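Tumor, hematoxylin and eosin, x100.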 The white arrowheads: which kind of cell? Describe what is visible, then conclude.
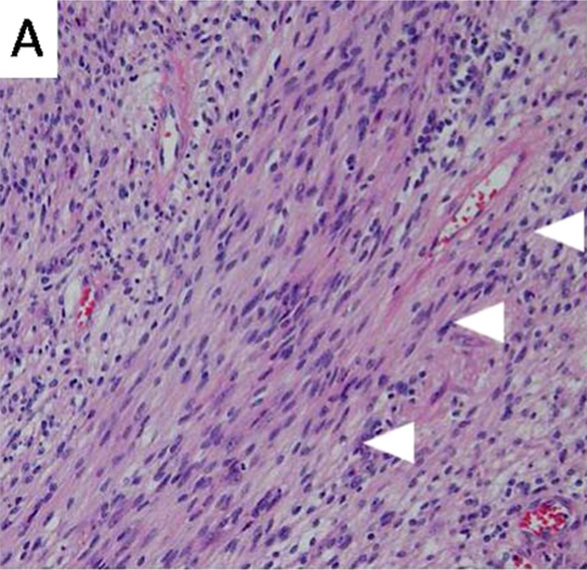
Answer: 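Spindle-shaped cells. The marked cells have elongated, tapering nuclei. The cells are drawn out along one axis and run in parallel streams.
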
